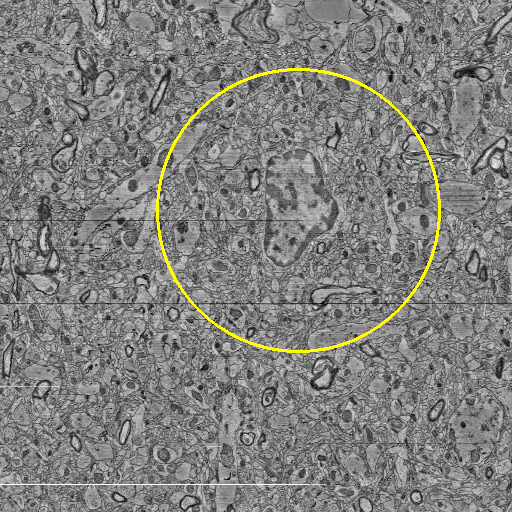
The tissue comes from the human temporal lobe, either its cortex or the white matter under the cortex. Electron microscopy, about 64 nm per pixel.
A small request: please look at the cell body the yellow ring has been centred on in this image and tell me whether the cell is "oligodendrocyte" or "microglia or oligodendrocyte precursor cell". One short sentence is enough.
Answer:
The cell marked by the ring is a microglial cell or oligodendrocyte precursor cell.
